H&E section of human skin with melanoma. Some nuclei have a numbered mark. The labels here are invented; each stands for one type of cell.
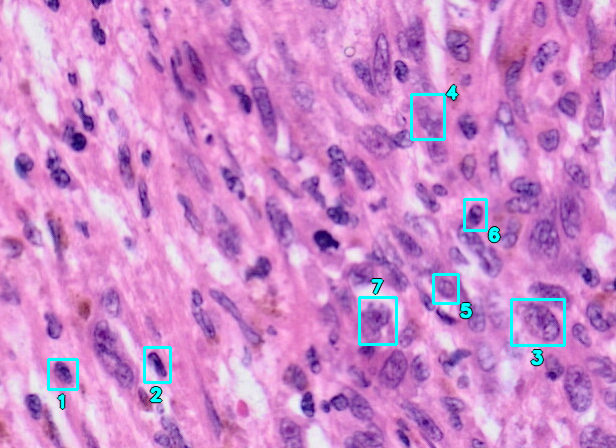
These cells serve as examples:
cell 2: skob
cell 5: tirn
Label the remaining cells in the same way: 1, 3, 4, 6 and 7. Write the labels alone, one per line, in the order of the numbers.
skob
tirn
tirn
skob
tirn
